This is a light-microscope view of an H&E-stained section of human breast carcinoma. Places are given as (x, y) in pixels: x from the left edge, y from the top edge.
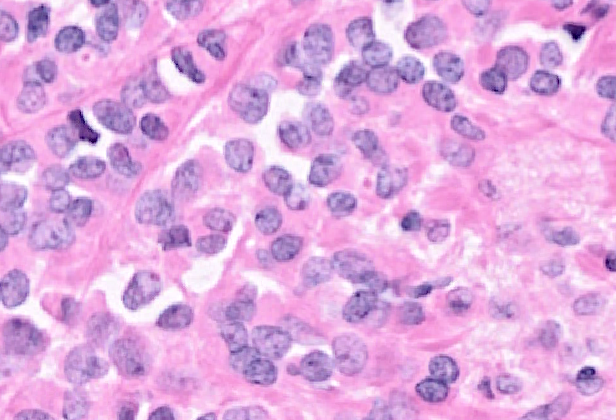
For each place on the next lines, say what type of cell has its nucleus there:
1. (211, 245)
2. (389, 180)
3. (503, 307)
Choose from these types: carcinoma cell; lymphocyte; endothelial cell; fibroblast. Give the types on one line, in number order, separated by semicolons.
carcinoma cell; carcinoma cell; fibroblast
